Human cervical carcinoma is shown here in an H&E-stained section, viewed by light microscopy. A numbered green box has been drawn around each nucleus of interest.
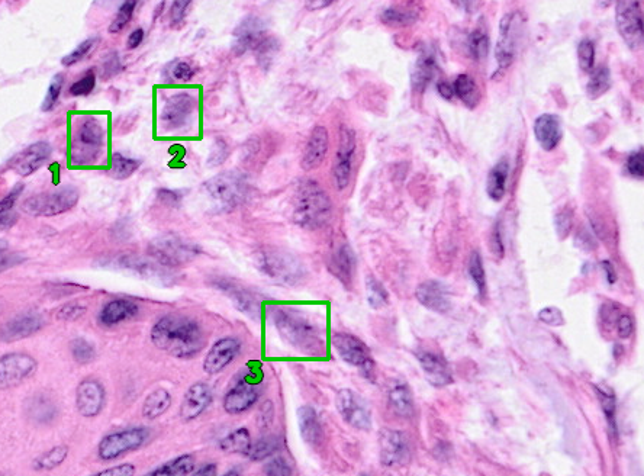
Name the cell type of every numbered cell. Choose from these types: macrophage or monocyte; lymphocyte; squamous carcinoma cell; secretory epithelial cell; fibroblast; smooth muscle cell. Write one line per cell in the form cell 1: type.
cell 1: macrophage or monocyte
cell 2: fibroblast
cell 3: fibroblast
